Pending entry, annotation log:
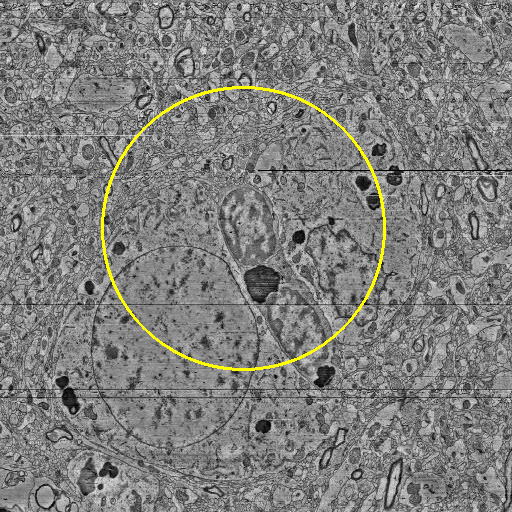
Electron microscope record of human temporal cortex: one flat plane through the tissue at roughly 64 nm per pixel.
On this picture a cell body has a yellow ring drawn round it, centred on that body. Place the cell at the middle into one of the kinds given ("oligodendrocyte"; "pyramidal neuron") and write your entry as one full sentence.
The cell body at the middle of the yellow ring belongs to an oligodendrocyte.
